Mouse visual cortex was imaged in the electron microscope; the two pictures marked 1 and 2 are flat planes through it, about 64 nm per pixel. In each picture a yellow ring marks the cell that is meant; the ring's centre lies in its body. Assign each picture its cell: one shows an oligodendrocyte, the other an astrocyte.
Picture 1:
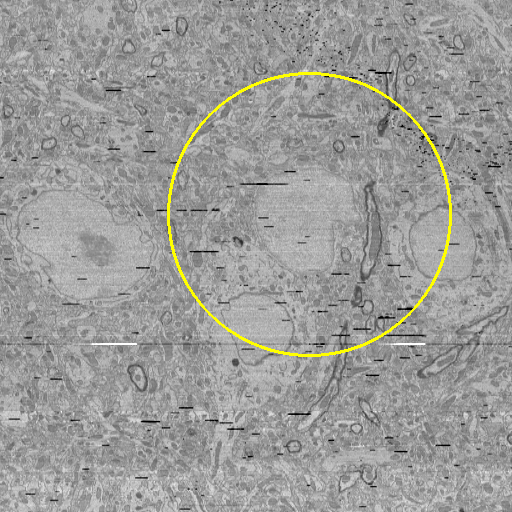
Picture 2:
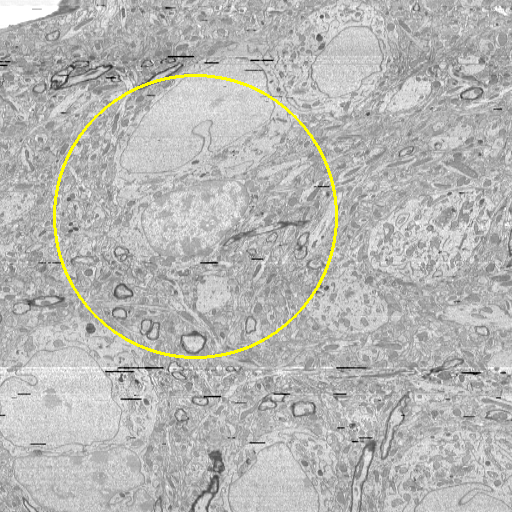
The cell in picture 1 is an astrocyte, and the one in picture 2 is an oligodendrocyte.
